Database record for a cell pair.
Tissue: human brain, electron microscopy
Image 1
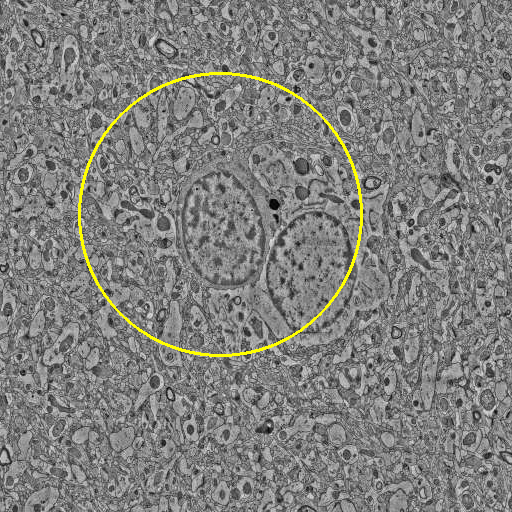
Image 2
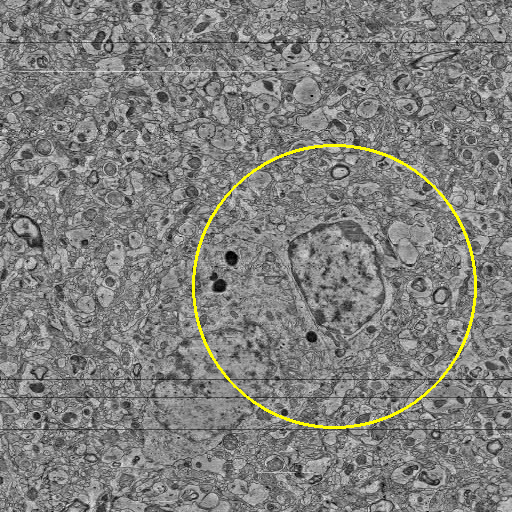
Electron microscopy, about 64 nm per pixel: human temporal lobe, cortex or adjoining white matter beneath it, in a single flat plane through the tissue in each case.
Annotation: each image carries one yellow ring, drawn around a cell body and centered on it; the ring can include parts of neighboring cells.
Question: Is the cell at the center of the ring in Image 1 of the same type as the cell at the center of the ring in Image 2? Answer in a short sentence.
No, the cells are of two types.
